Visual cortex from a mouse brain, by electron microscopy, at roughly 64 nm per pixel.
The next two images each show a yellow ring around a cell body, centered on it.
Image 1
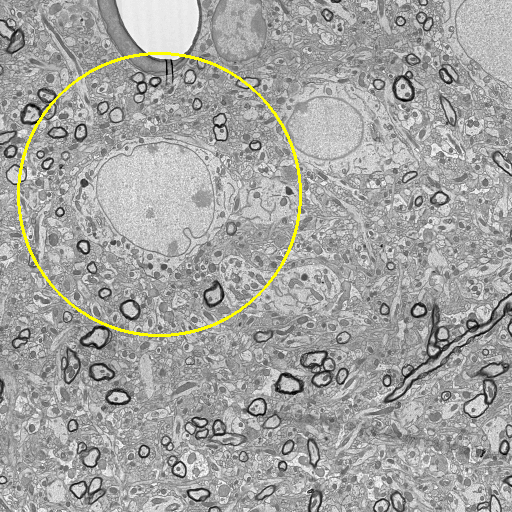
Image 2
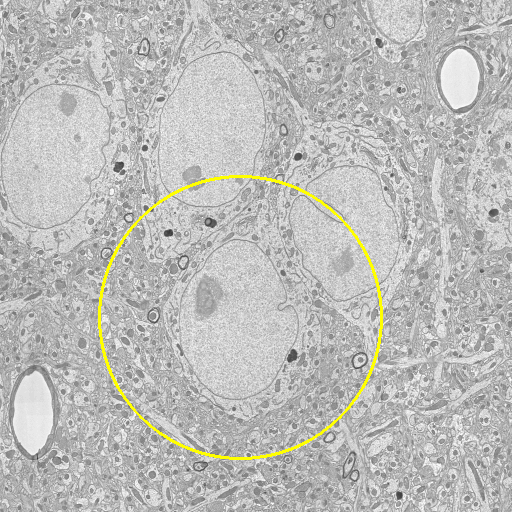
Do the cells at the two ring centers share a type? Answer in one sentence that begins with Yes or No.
Yes, across the two images the cells at the ring centers share one type.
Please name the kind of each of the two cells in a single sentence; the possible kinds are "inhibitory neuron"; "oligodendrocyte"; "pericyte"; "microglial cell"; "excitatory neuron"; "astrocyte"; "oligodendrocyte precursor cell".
Each of the two pictures has an excitatory neuron at the ring centre.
